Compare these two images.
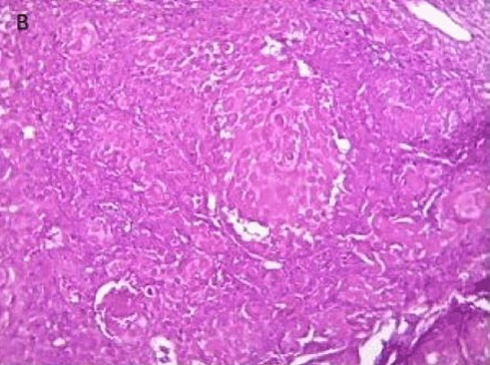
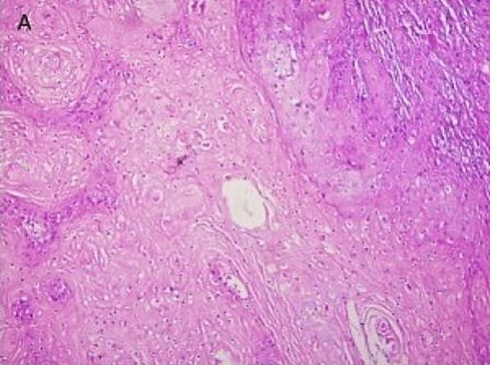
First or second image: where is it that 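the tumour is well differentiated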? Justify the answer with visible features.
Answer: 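The second image. First image: crowded sheets of cells with only small foci of keratin. Second image: large nests with many concentric keratin pearls.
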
